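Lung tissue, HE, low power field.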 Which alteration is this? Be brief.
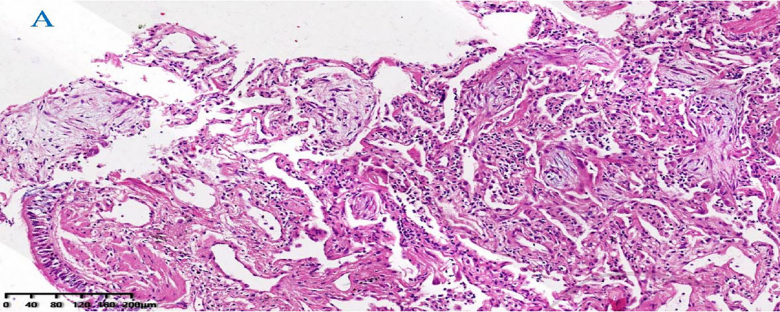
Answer: Organizing pneumonia.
